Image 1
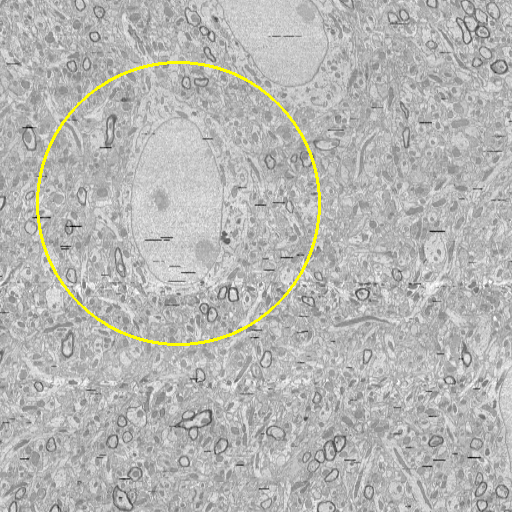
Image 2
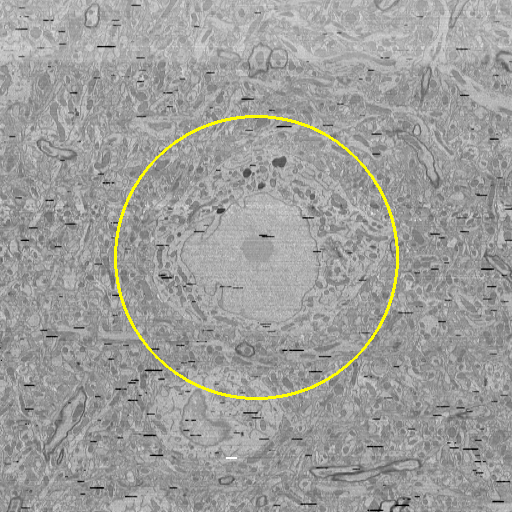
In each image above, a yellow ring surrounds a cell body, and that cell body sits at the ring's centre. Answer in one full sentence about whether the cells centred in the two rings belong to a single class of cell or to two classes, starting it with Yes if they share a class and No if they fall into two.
No, the cells centred in the two yellow rings belong to two classes of cell.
